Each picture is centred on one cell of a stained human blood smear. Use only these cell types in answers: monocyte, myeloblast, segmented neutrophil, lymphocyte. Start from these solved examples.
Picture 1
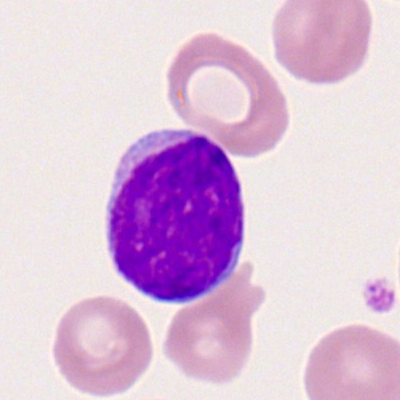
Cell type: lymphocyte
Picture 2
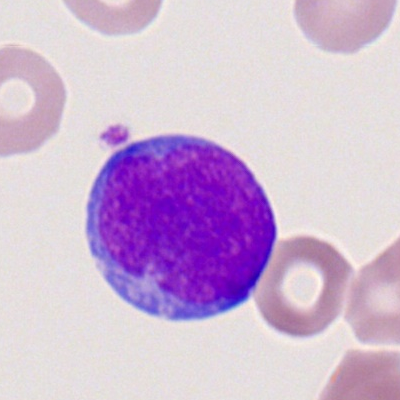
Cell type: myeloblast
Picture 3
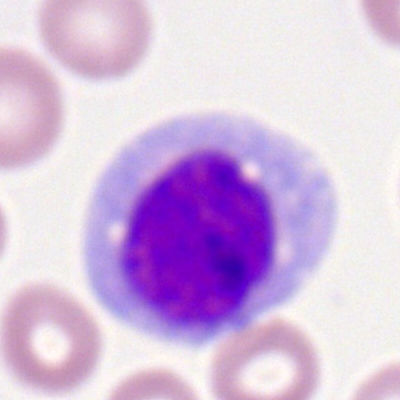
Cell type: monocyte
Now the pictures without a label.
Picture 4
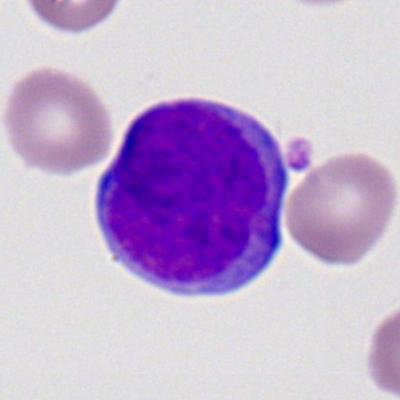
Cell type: myeloblast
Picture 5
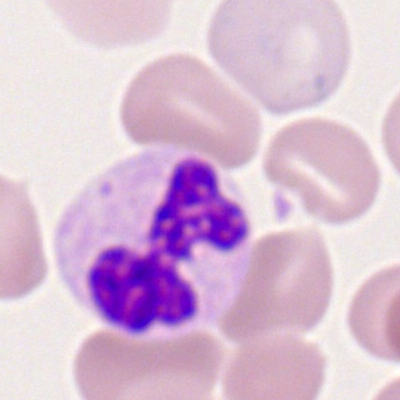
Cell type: segmented neutrophil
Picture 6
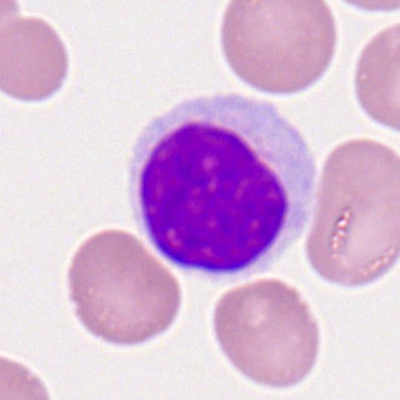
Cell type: lymphocyte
